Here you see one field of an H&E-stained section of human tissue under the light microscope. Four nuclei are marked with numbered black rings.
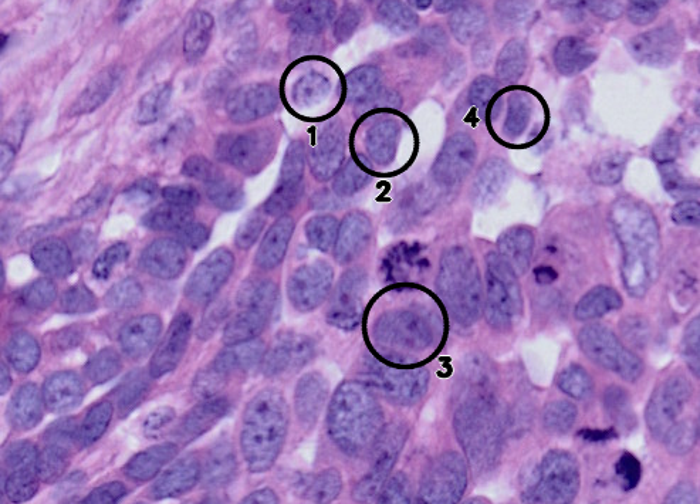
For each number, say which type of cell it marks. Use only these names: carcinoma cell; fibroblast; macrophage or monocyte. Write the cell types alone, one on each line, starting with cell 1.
macrophage or monocyte
carcinoma cell
carcinoma cell
carcinoma cell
